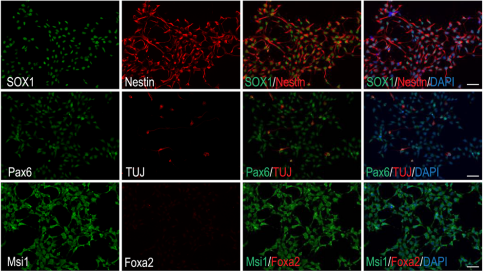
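In the top row, green signal sits in the nuclei, while red signal fills the cytoplasm as fine filament-like strands that run out into long, thin processes, giving many cells an elongated, often bipolar shape. In the middle row the green signal is again nuclear, and the red is sparse, seen in only a few scattered thin strands. In the bottom row the green signal fills the cell bodies of spindle-shaped cells, while the red is nearly absent.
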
